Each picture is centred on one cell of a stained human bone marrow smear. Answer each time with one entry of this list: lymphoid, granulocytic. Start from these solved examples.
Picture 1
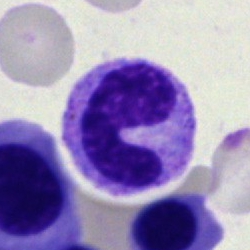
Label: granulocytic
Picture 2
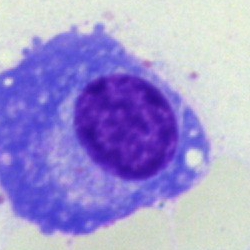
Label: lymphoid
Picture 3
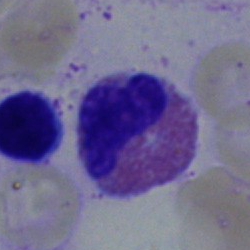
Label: granulocytic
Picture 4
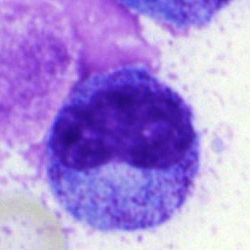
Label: granulocytic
